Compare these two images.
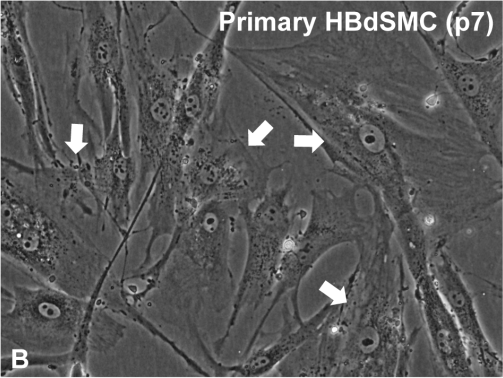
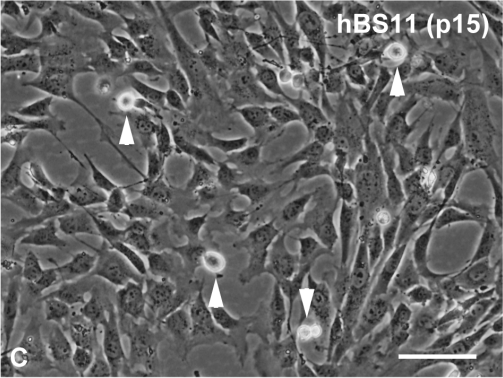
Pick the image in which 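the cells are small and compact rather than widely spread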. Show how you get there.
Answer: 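Second image: many small, angular cells packed closely together. First image: few very large, flattened cells with broad cytoplasm. That points to this answer: the second image.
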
